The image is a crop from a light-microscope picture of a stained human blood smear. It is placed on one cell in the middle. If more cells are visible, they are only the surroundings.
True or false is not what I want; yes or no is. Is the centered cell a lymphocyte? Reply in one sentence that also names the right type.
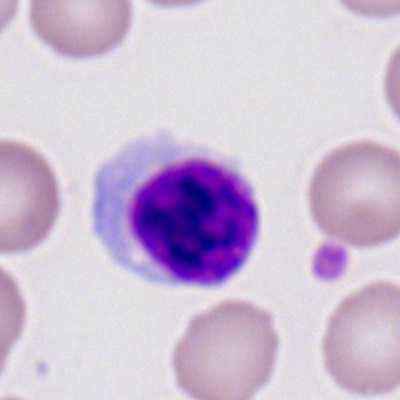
Yes, this central cell is a lymphocyte.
